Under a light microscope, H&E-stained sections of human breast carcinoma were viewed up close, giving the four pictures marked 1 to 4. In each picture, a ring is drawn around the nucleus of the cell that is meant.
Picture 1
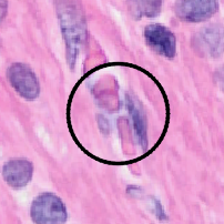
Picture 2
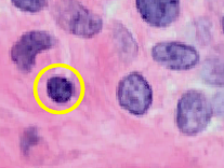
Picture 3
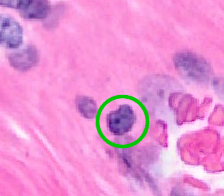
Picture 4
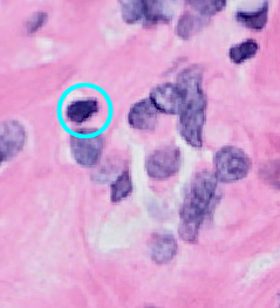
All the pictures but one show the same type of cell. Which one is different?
1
